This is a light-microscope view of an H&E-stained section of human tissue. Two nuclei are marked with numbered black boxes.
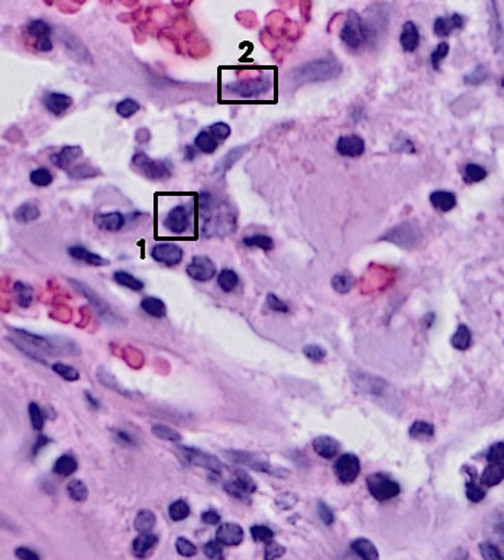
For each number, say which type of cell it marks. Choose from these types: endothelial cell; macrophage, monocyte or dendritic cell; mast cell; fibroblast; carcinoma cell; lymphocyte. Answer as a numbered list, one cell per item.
1. lymphocyte
2. endothelial cell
